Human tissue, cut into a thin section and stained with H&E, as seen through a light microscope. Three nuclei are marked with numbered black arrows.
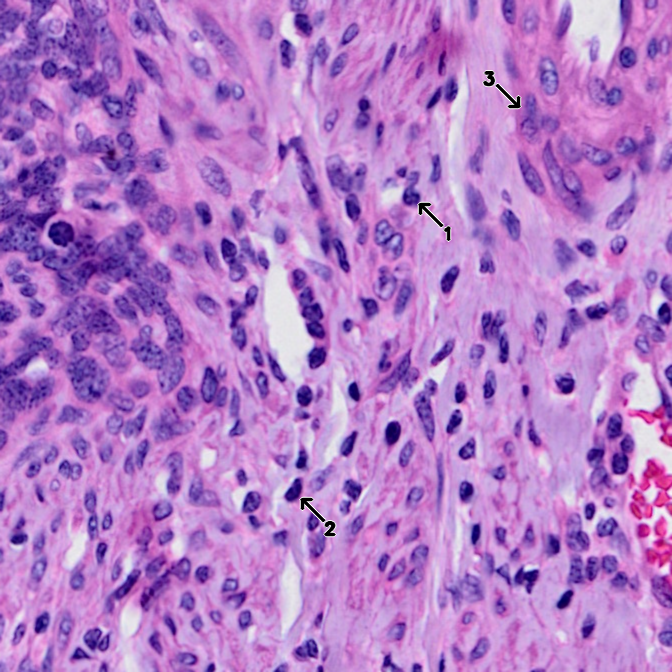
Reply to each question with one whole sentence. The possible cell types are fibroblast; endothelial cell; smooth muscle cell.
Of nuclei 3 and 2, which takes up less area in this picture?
Nucleus 2 covers less area, with nucleus 3 about 2 times as large.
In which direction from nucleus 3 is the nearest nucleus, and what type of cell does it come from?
Lying to the right of nucleus 3, the nearest nucleus is that of a smooth muscle cell.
